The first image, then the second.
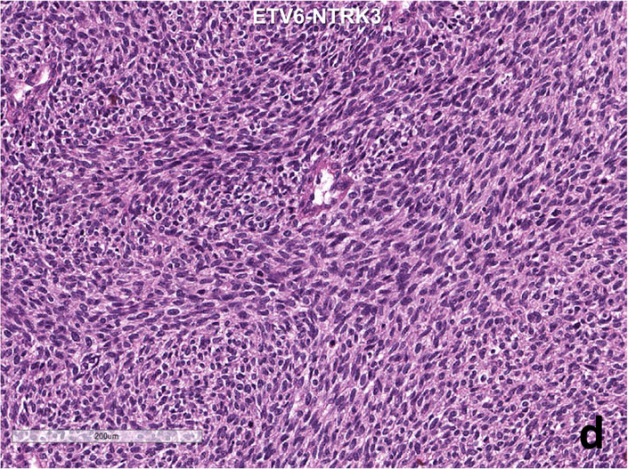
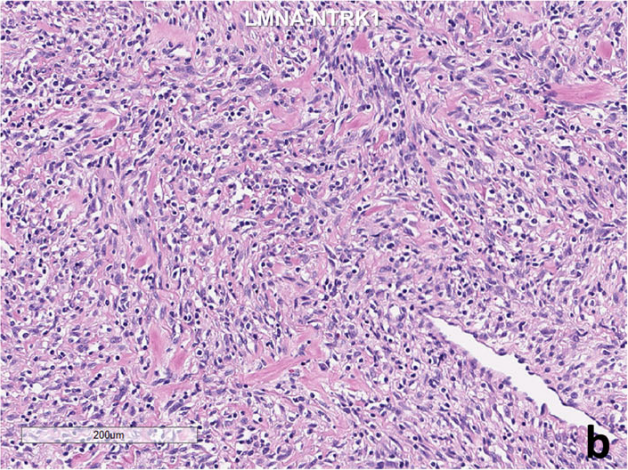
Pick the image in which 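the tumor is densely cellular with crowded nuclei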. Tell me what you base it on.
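Second image: spindle cells are spaced apart by abundant pink collagen. First image: nuclei are tightly packed with scant stroma between them. So: the first image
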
